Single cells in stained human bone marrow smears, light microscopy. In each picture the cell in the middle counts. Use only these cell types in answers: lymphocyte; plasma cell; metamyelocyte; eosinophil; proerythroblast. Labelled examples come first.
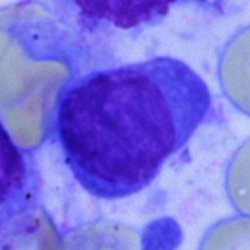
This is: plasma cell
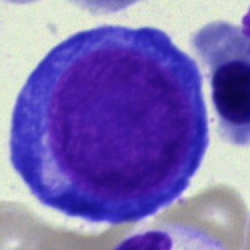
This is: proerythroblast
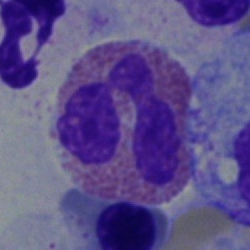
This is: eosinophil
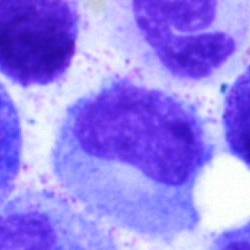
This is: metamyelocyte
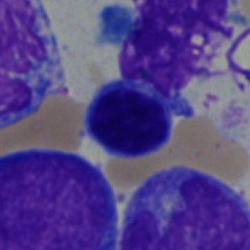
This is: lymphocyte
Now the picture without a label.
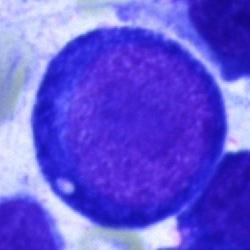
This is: proerythroblast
